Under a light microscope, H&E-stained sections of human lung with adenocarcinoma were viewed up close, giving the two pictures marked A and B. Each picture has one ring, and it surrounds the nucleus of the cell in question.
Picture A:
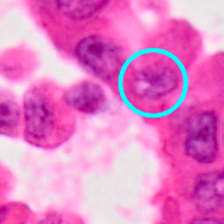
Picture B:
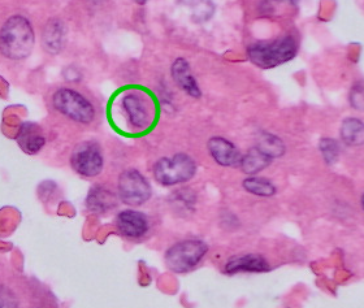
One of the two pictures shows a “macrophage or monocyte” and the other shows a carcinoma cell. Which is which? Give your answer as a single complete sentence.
In picture A the cell is a carcinoma cell; in picture B, a “macrophage or monocyte”.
